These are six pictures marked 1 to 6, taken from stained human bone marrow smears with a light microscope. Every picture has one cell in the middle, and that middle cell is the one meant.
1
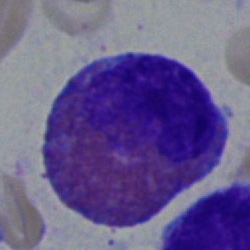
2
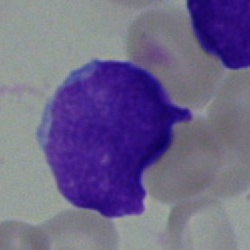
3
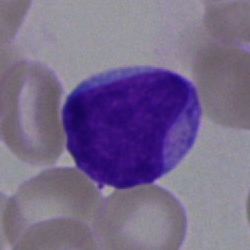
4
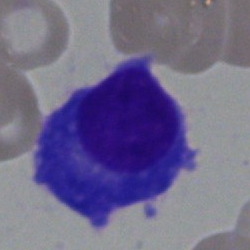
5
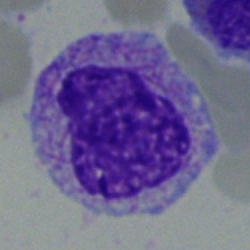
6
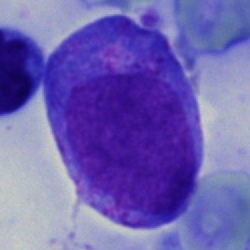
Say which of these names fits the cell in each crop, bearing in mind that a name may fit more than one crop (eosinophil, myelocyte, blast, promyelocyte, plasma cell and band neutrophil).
1: eosinophil
2: blast
3: blast
4: plasma cell
5: myelocyte
6: promyelocyte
